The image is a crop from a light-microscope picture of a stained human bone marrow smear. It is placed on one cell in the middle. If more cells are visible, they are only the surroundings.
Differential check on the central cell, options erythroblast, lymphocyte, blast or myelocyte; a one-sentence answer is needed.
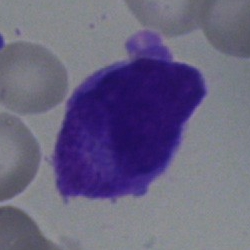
In the centre of this crop there is a blast.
